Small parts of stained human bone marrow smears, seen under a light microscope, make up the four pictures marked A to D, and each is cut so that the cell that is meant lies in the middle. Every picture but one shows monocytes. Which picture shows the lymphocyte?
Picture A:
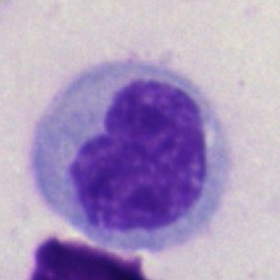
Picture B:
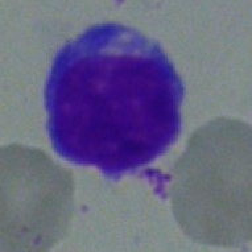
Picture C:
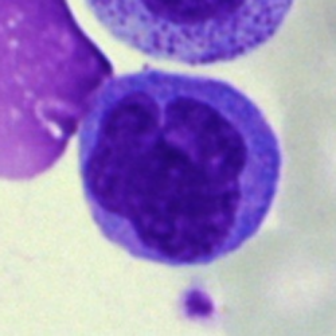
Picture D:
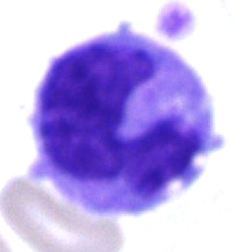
B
